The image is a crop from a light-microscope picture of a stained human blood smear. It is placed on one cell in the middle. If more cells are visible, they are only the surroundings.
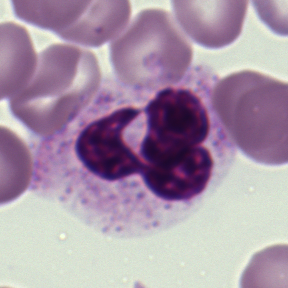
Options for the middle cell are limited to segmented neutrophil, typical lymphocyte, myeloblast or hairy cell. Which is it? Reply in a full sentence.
The cell centred in this crop is categorized as a segmented neutrophil.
